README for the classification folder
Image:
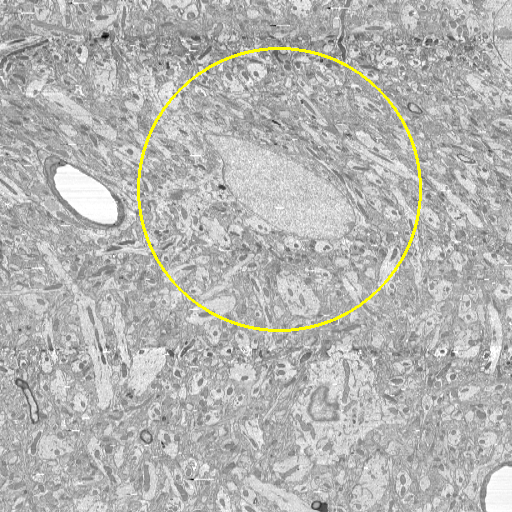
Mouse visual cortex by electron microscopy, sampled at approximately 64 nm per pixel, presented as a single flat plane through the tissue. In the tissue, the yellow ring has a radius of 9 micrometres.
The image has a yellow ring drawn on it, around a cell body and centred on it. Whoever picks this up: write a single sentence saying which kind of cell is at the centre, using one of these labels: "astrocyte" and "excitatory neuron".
This cell body is that of an astrocyte.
